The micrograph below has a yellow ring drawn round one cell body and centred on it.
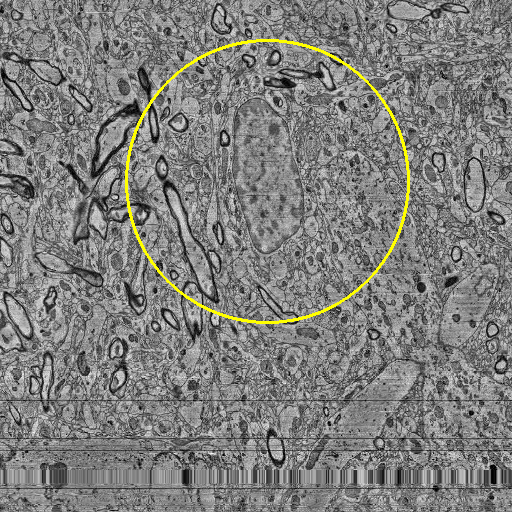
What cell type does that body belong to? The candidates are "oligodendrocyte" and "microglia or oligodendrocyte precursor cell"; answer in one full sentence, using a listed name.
This is a microglial cell or oligodendrocyte precursor cell, the cell whose body lies at the centre of the ring.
